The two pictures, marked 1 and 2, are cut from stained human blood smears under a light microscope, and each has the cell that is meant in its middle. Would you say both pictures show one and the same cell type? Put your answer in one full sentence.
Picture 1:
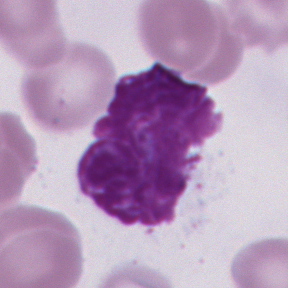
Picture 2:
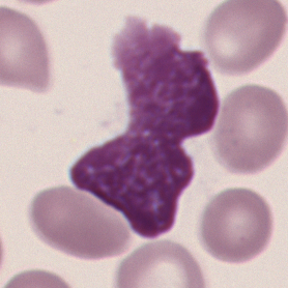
Yes; the cells in both pictures are smudge cells.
